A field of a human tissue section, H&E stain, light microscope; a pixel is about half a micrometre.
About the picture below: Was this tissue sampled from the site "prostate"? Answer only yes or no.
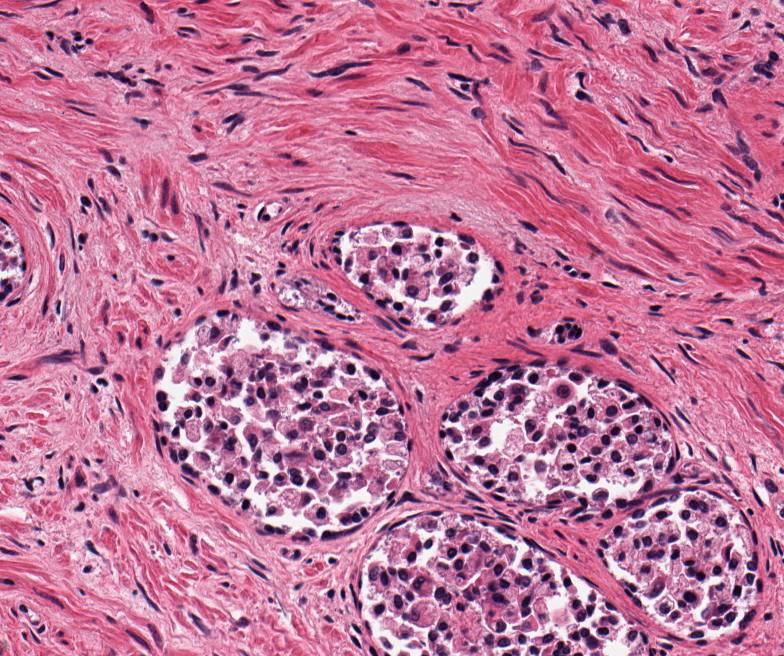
yes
